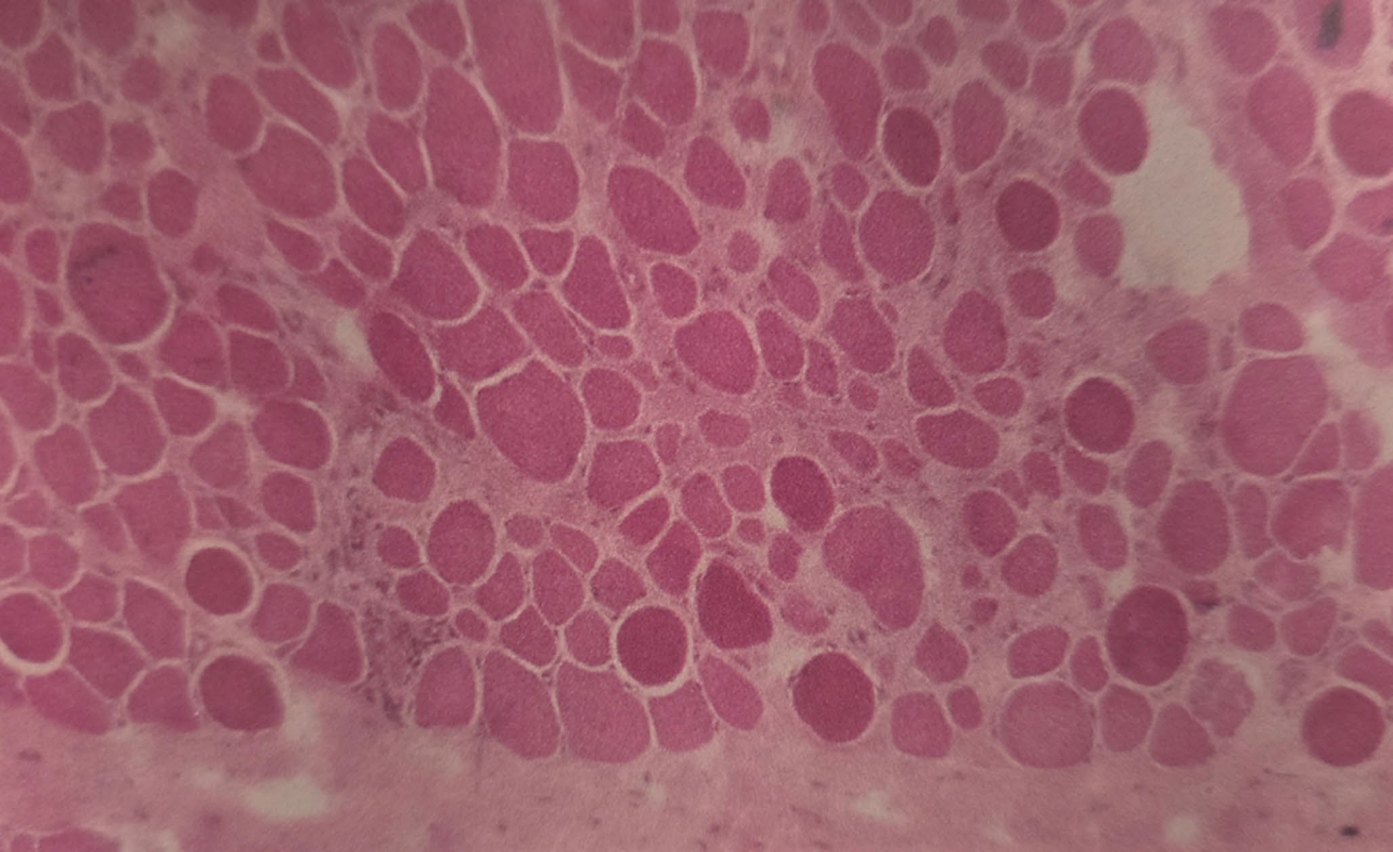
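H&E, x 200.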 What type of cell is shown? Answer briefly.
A: Muscle fibres.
